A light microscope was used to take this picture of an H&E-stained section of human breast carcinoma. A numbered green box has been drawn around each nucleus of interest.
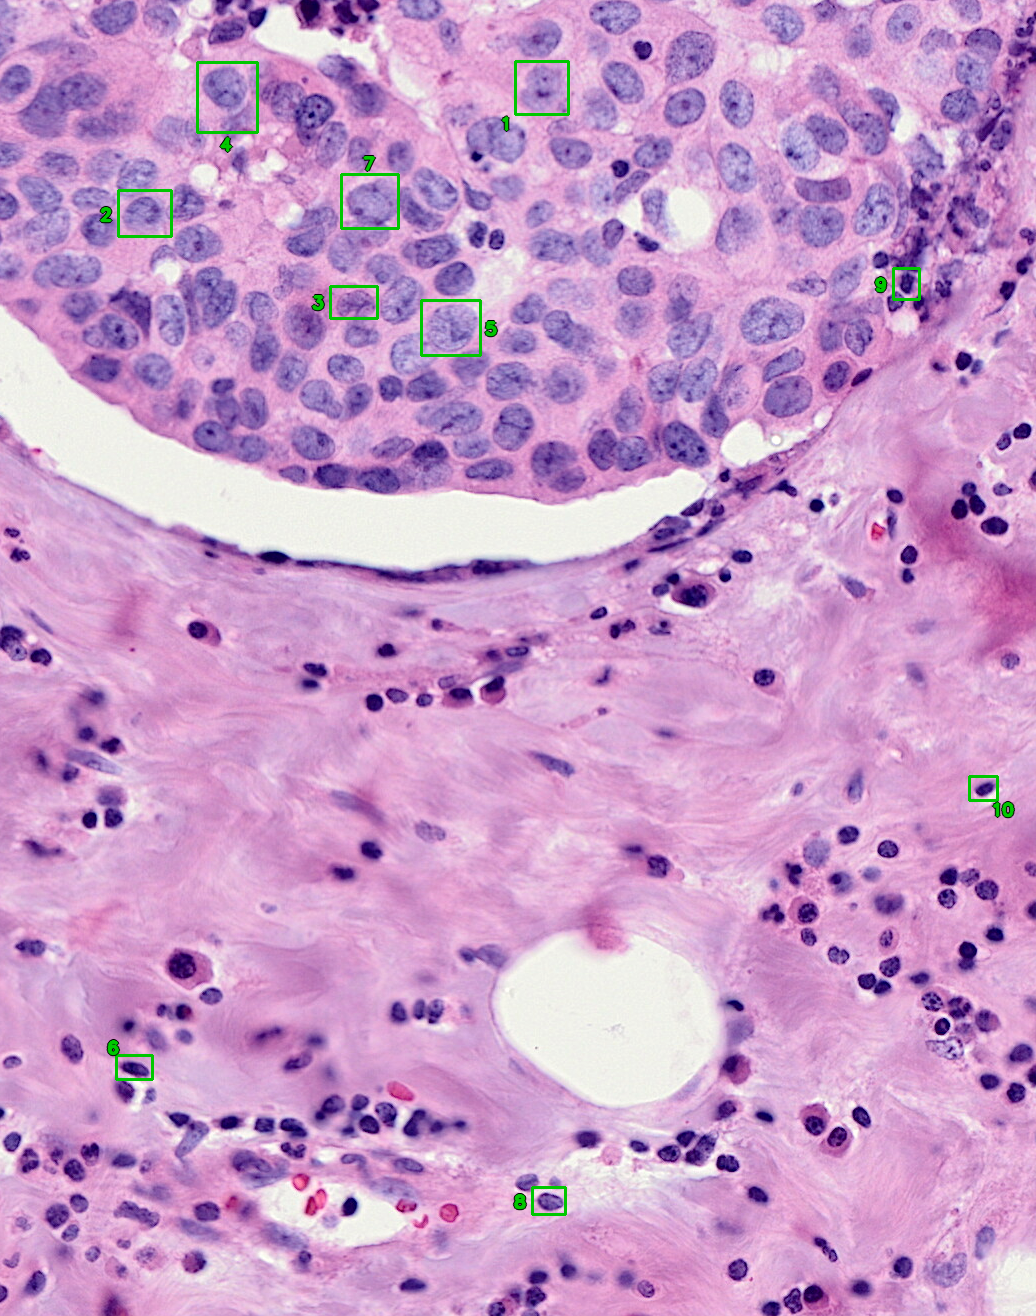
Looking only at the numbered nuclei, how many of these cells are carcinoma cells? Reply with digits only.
6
